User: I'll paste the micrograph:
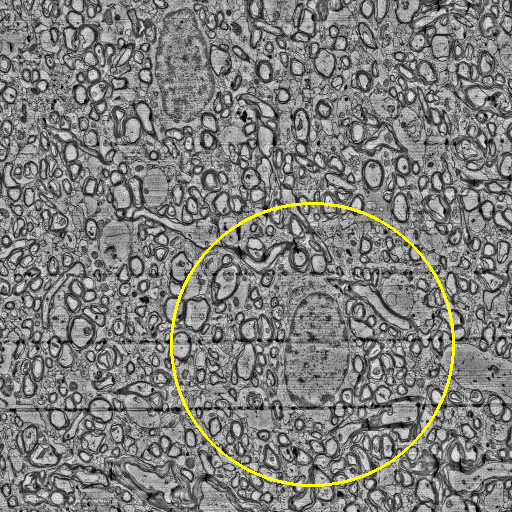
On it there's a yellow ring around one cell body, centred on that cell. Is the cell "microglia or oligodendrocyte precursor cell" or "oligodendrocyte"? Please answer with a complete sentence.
The cell ringed in yellow is a microglial cell or oligodendrocyte precursor cell.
